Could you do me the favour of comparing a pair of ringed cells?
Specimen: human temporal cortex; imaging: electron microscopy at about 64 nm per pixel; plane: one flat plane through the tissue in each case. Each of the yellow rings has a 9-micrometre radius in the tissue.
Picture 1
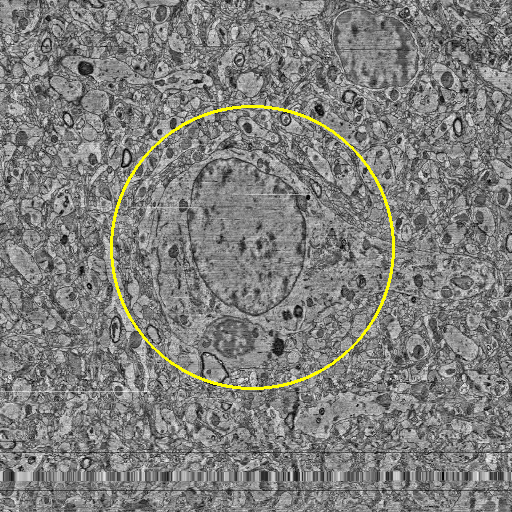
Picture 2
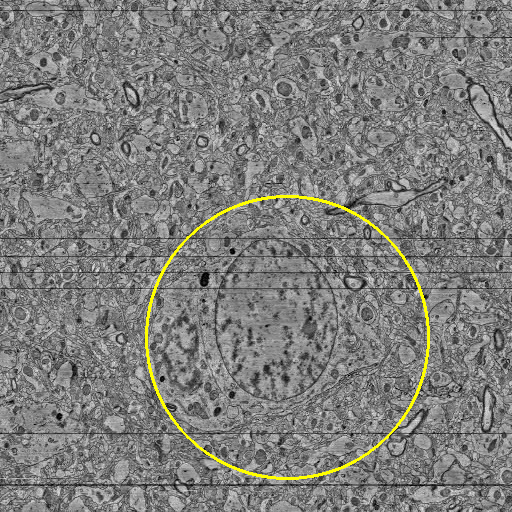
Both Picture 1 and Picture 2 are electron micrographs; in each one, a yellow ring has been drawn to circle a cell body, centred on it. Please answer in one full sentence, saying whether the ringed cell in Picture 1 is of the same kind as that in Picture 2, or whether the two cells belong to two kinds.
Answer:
The ringed cell in Picture 1 is of the same kind as that in Picture 2.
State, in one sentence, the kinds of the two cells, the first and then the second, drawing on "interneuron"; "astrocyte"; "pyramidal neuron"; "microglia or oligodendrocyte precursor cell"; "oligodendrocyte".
Both cells are the same kind, each one being a pyramidal neuron.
